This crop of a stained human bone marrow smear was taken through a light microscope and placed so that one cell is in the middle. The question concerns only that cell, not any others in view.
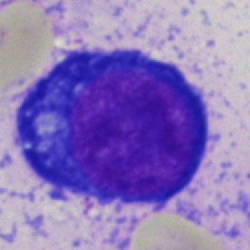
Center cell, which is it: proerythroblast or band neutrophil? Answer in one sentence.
The cell at the middle of the crop is recognized as a proerythroblast.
